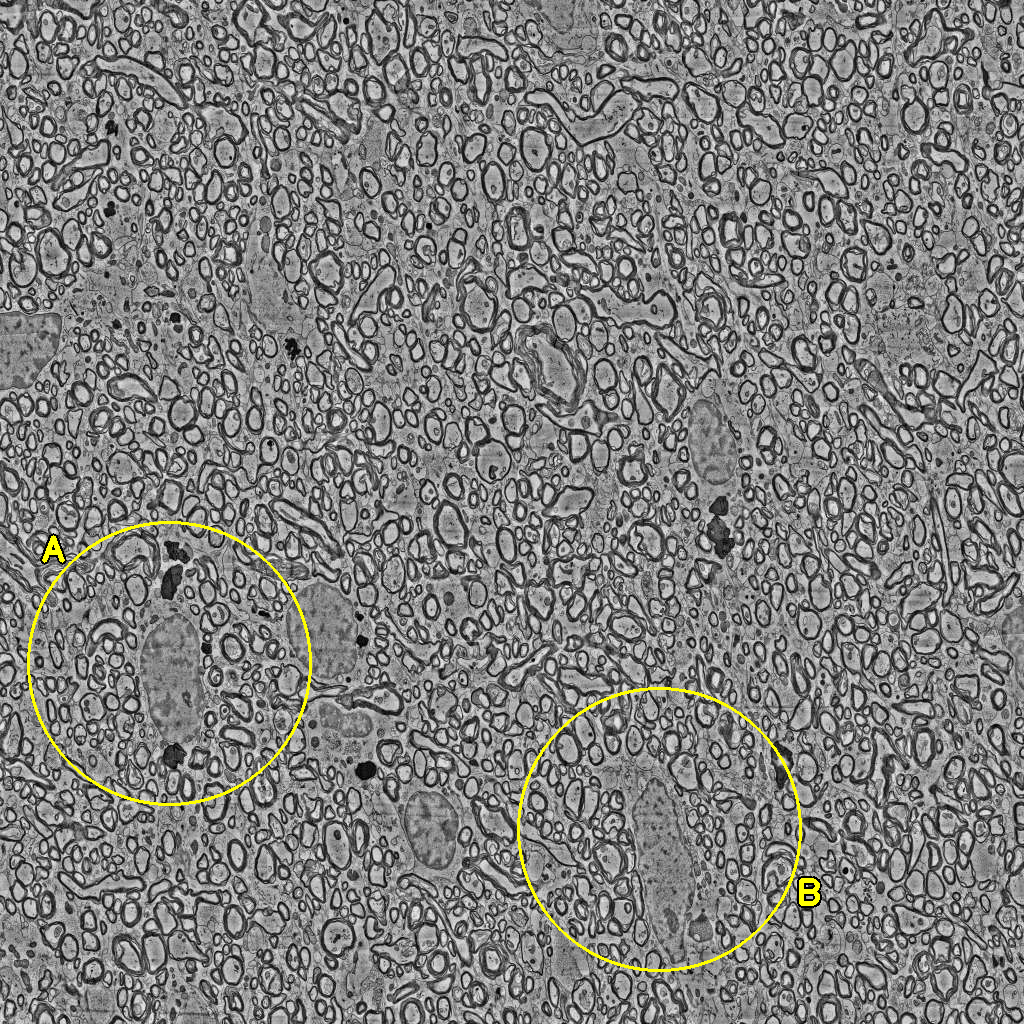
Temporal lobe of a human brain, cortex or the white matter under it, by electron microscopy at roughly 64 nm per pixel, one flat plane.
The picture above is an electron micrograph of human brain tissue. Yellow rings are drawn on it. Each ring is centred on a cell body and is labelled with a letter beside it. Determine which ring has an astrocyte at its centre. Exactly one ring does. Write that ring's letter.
B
